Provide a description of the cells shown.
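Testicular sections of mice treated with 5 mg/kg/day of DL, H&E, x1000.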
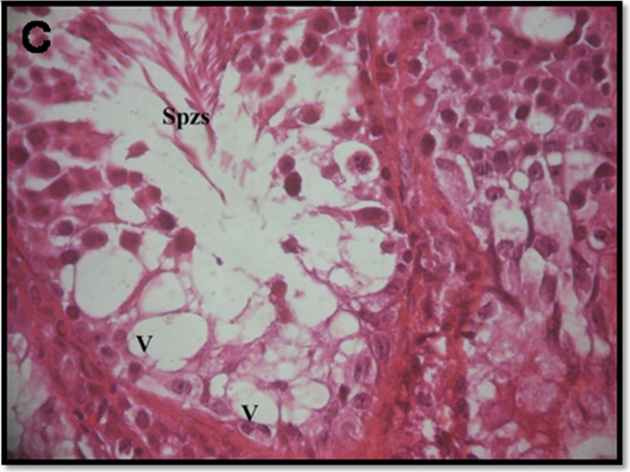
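This high-power view of a seminiferous tubule shows a disorganised germ cell epithelium with many large clear vacuoles near the base of the tubule wall. Between the vacuoles lie cells with dark purple, rounded nuclei and pink cytoplasm. Rounded cells have come loose and lie free in the pale central lumen. Thin pink tails of spermatozoa are still seen projecting into the lumen at the top. Next to the tubule lies pink interstitial tissue with elongated nuclei.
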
